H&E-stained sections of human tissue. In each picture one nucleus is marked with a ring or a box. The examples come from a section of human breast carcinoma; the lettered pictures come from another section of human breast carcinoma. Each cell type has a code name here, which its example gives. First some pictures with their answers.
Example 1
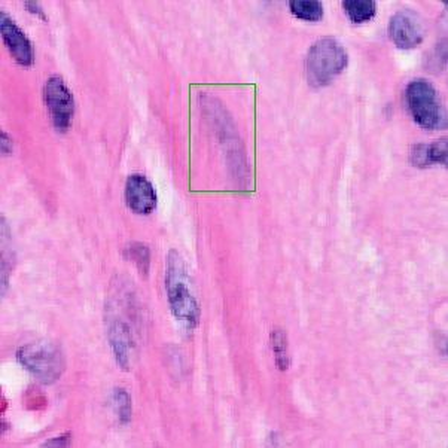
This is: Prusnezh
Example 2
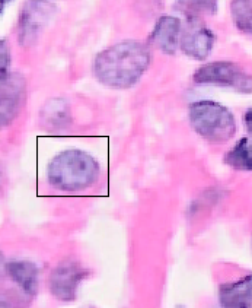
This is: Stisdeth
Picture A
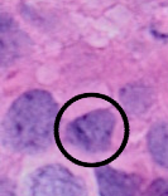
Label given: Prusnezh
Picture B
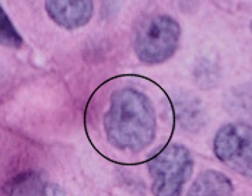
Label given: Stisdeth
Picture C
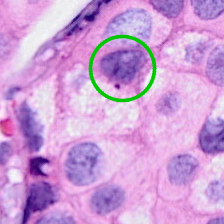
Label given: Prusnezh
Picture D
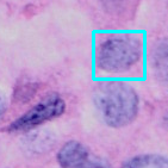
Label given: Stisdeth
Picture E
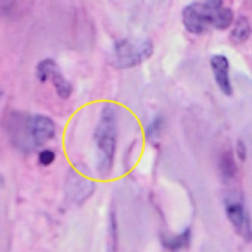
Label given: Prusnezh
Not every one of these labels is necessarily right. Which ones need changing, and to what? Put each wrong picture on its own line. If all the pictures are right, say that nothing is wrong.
Wrong: A (Prusnezh); correct: Stisdeth
Wrong: C (Prusnezh); correct: Stisdeth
